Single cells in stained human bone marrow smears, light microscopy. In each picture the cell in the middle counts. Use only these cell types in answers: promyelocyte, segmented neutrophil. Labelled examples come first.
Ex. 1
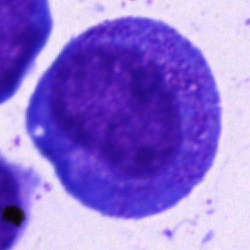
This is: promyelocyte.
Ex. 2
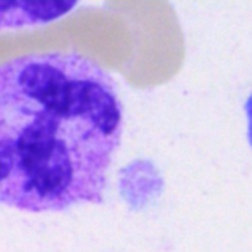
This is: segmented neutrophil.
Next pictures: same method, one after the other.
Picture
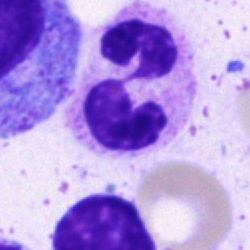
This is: segmented neutrophil.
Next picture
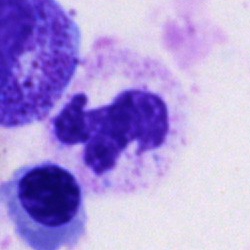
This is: segmented neutrophil.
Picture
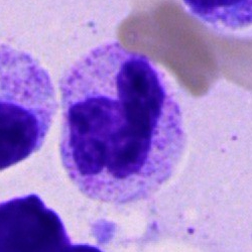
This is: segmented neutrophil.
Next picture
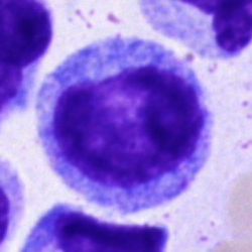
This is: promyelocyte.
